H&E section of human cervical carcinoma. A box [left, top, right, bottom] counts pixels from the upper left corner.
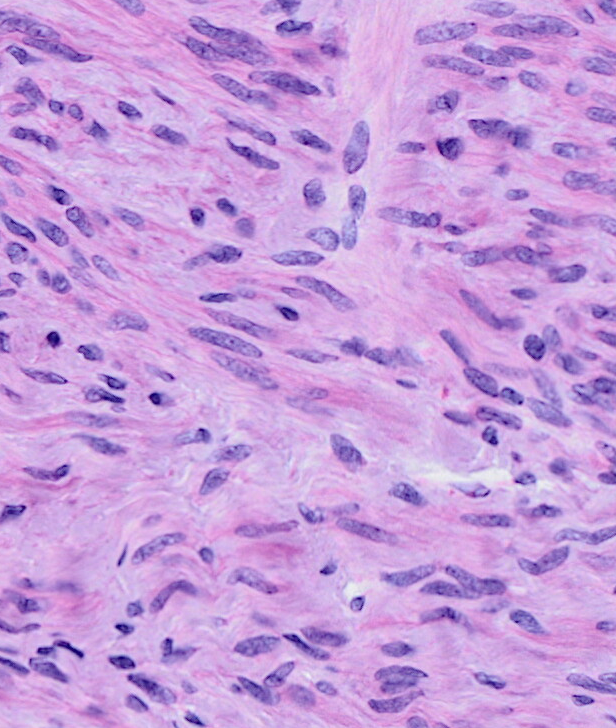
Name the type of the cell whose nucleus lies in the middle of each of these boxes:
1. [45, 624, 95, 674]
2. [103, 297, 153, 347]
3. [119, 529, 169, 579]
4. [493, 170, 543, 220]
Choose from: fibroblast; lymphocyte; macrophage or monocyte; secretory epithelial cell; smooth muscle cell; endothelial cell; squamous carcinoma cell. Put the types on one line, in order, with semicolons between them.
fibroblast; smooth muscle cell; smooth muscle cell; smooth muscle cell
